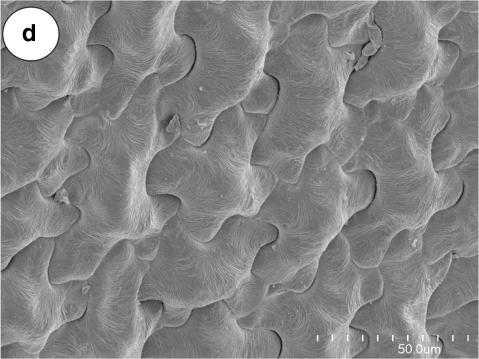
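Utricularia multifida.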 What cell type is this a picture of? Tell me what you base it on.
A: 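Fine parallel striations run over the cell surfaces.
Conclusion: epidermal cells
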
